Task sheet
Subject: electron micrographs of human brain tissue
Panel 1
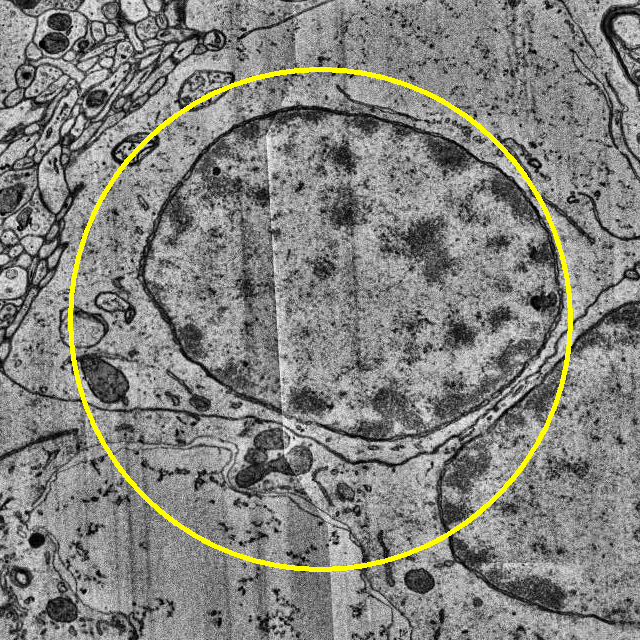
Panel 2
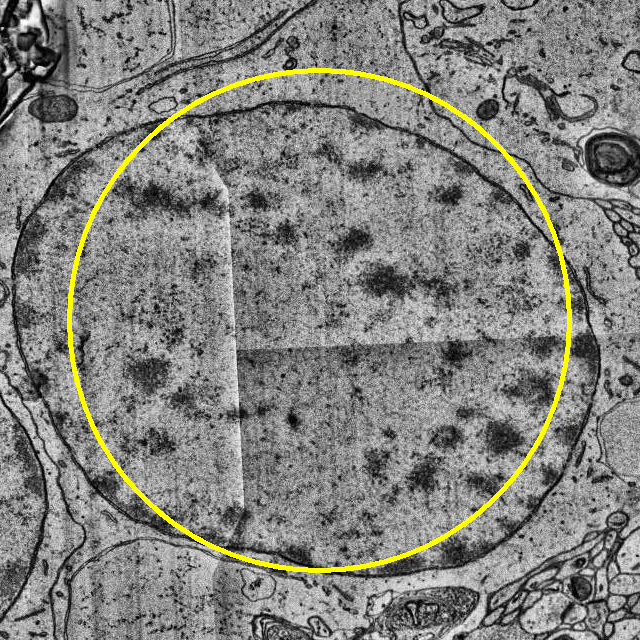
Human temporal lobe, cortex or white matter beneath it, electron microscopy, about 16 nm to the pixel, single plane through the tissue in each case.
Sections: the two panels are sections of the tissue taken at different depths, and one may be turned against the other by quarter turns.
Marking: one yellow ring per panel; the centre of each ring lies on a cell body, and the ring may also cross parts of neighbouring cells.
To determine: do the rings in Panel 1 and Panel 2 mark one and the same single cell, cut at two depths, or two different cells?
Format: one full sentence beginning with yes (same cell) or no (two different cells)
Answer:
Yes, the same individual cell is enclosed by both rings.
